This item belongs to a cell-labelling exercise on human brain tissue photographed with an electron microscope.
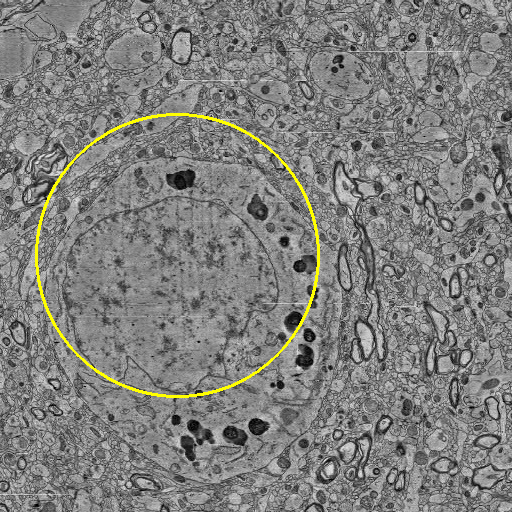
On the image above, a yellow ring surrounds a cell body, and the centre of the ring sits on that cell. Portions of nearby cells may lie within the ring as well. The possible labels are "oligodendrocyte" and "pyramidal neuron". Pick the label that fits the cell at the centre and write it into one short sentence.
This cell should be labelled as a pyramidal neuron.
